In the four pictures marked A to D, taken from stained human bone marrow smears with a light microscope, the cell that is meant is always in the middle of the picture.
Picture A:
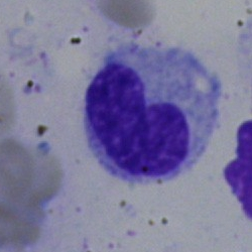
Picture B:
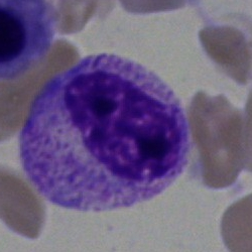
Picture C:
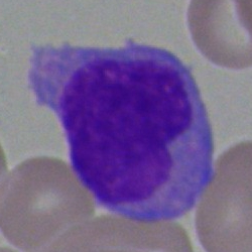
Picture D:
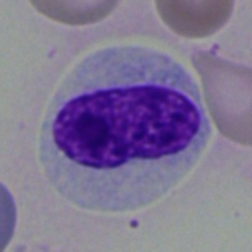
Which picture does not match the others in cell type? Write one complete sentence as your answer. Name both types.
Unlike the rest, which show metamyelocytes, picture C shows a monocyte.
